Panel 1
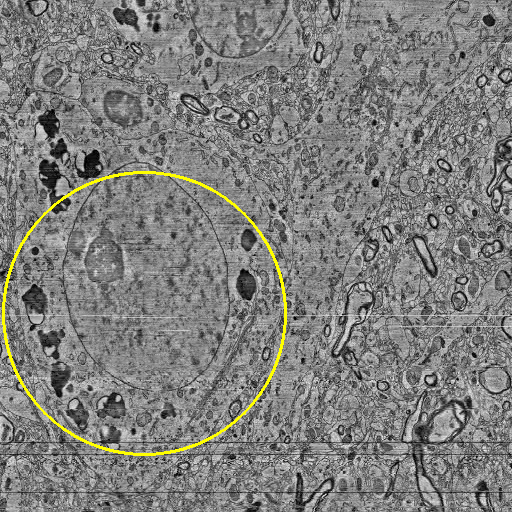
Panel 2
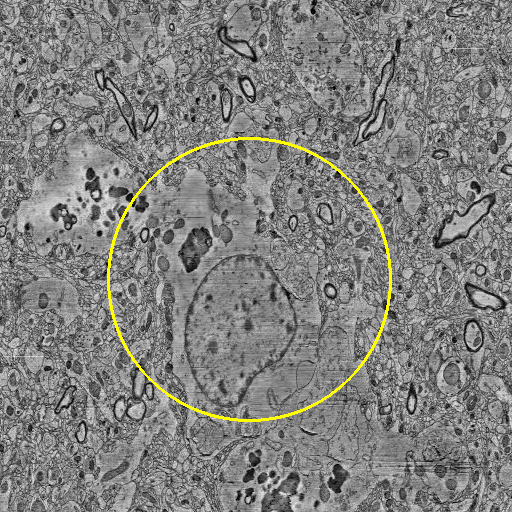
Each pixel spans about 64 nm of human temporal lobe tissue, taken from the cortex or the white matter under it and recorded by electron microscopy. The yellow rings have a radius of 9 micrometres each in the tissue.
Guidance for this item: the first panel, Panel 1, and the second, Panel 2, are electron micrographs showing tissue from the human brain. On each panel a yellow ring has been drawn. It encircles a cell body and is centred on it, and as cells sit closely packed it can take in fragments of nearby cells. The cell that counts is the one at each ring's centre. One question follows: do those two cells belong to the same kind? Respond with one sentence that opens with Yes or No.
No, the cells at the ring centres in Panel 1 and Panel 2 are of two kinds.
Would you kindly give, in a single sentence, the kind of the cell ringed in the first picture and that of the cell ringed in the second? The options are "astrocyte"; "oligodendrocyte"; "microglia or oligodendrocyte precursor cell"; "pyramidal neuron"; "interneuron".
The second cell is an astrocyte, and the first cell is a pyramidal neuron.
